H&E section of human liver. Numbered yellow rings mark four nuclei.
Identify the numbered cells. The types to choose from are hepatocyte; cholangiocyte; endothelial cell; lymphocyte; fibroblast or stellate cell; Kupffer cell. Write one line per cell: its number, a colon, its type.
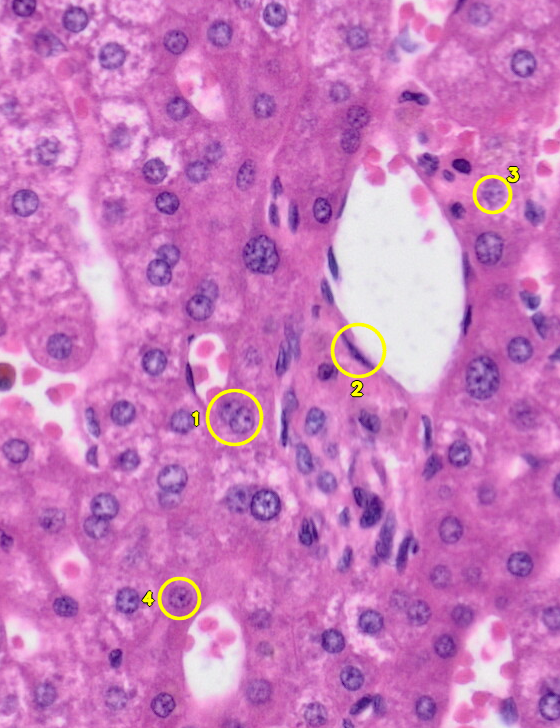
1: hepatocyte
2: fibroblast or stellate cell
3: hepatocyte
4: hepatocyte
